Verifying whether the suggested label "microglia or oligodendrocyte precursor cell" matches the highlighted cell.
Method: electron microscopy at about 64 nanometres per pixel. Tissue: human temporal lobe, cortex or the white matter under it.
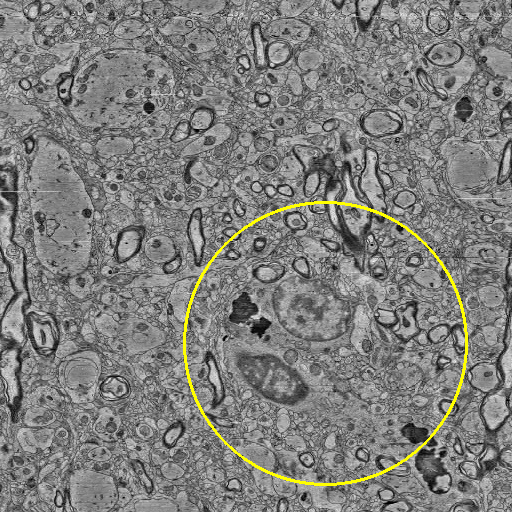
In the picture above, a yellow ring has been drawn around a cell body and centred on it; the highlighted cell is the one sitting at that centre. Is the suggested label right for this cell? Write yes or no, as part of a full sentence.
No, the cell centred in the yellow ring belongs to a different kind from the label.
